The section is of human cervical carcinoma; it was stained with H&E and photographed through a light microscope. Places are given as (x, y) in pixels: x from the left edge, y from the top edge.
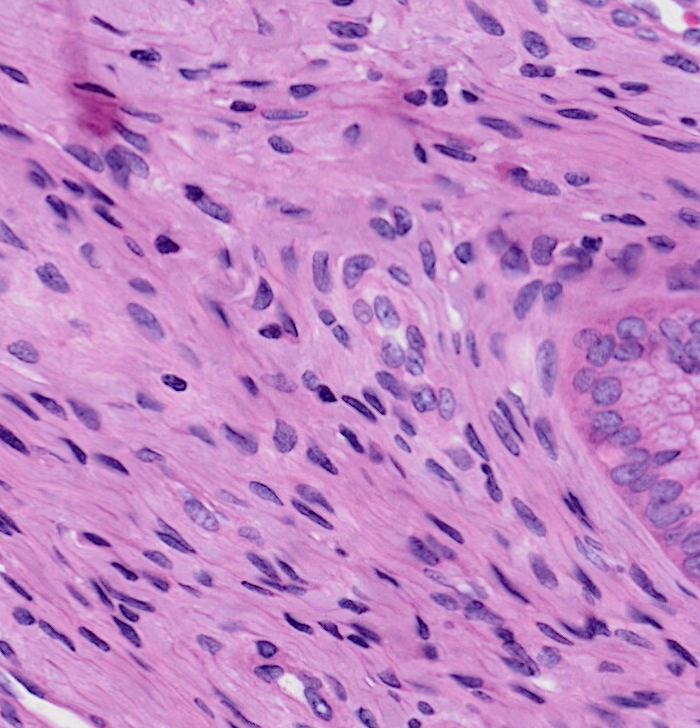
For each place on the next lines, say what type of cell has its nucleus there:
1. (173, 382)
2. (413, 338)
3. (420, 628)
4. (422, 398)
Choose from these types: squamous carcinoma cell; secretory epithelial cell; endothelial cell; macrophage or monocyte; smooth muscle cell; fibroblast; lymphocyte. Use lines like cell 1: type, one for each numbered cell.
cell 1: lymphocyte
cell 2: endothelial cell
cell 3: fibroblast
cell 4: endothelial cell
